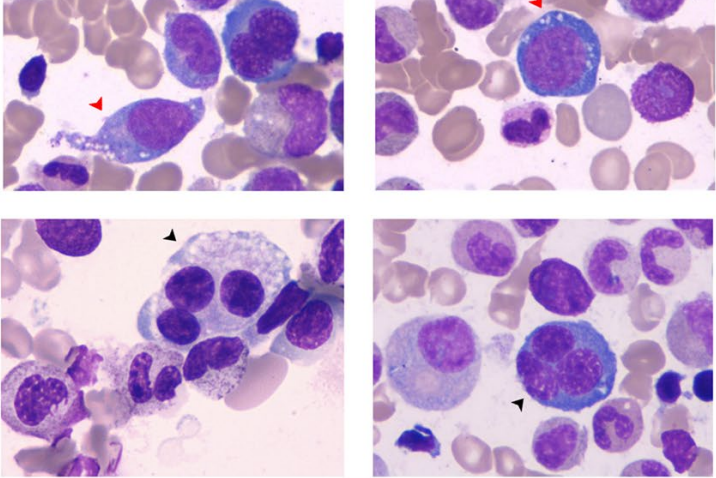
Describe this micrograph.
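These bone marrow smears show myeloid and erythroid precursors with dysplasia among pink, round red blood cells. Several precursors have deep blue cytoplasm that is riddled with small clear round vacuoles, and their nuclei are round to oval with fine purple chromatin. Some nuclei look irregular or lobed. In one field, a cell with several separate dark round nuclei lies in pale, bluish-grey, vacuolated cytoplasm, which fits a small multinucleated megakaryocyte. Maturing granulocytes with band-shaped or segmented nuclei and pink granular cytoplasm lie among them. A few small, dark, round-nucleated cells are scattered through the fields.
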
